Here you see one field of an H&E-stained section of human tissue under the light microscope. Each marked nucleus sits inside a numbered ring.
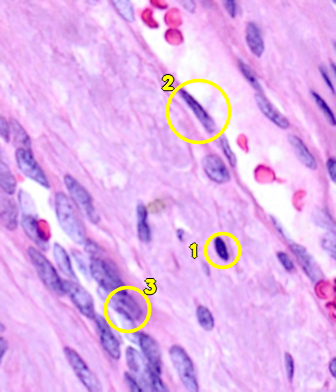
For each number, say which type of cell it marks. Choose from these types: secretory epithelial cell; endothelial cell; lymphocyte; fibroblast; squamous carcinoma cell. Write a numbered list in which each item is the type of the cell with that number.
1. lymphocyte
2. endothelial cell
3. endothelial cell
